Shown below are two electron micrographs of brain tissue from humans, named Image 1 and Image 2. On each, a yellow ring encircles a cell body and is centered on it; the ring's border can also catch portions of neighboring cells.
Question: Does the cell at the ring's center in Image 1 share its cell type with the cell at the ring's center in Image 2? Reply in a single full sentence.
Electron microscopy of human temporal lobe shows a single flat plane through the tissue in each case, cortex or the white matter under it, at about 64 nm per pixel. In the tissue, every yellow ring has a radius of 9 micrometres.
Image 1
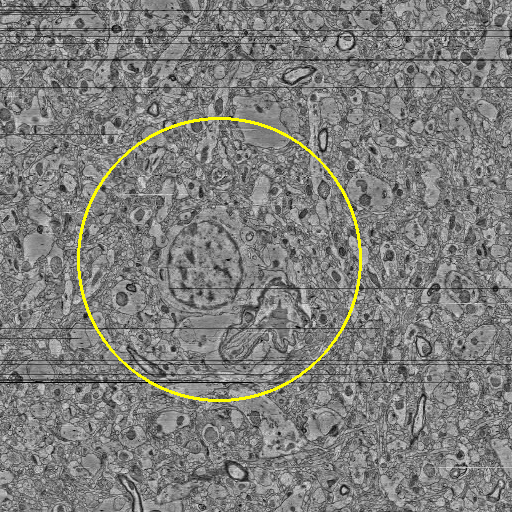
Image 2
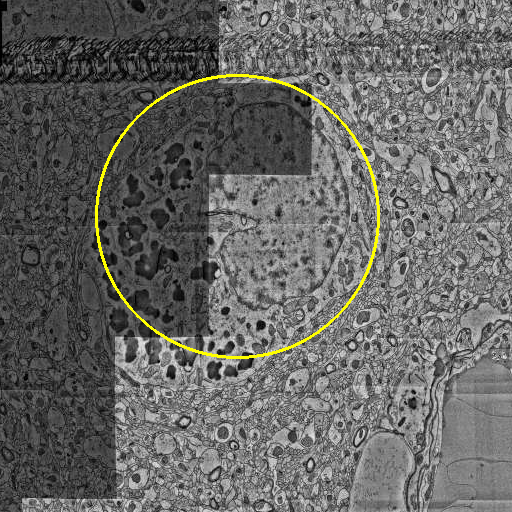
No, the two cells at the ring centers, in Image 1 and Image 2, are of two cell types.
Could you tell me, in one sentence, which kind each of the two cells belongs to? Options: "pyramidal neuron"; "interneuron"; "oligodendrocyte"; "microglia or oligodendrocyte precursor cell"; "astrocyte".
At the centre of the first ring sits a microglial cell or oligodendrocyte precursor cell, and at the centre of the second sits an interneuron.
